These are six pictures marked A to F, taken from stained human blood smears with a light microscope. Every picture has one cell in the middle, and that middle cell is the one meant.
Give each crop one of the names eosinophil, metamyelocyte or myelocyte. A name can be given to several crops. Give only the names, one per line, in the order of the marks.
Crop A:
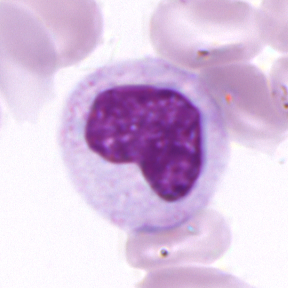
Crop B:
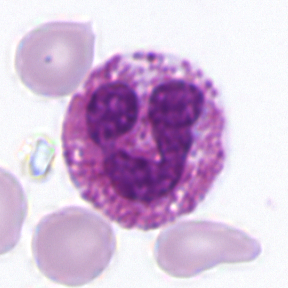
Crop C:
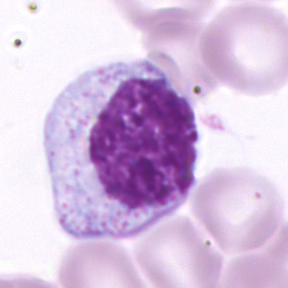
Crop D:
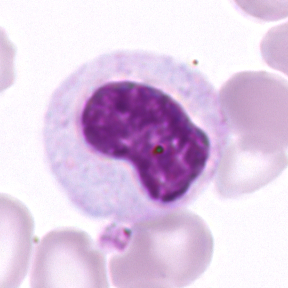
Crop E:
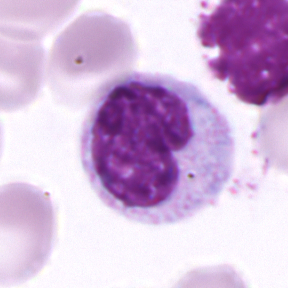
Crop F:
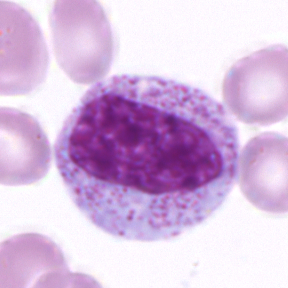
metamyelocyte
eosinophil
myelocyte
metamyelocyte
metamyelocyte
myelocyte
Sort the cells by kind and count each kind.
metamyelocyte: 3
myelocyte: 2
eosinophil: 1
